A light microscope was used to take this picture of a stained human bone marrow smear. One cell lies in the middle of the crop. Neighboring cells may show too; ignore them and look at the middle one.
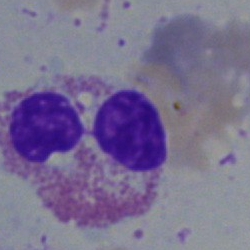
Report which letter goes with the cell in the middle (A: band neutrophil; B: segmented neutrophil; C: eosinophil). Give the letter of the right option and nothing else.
C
